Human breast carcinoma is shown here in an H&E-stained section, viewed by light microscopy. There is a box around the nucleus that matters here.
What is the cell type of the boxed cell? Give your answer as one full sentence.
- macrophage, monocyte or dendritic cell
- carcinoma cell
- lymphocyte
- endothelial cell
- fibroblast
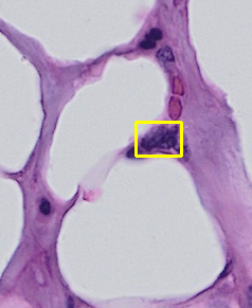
In the tissue at hand, the boxed cell is an endothelial cell.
